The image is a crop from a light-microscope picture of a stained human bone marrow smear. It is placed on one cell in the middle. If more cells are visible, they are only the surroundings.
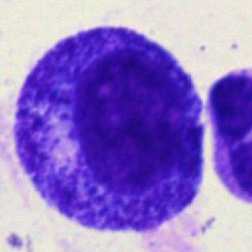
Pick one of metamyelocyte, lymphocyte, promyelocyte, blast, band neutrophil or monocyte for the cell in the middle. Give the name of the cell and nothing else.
promyelocyte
